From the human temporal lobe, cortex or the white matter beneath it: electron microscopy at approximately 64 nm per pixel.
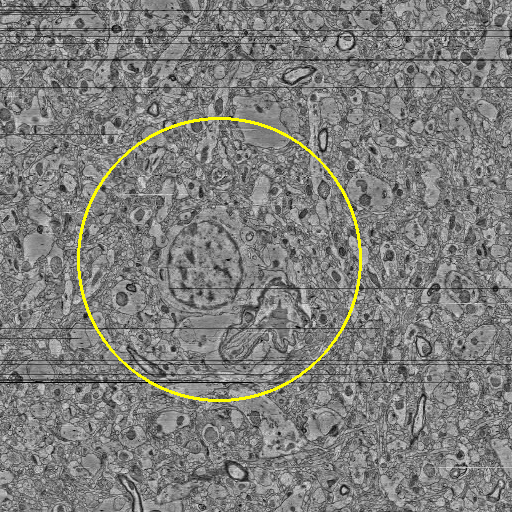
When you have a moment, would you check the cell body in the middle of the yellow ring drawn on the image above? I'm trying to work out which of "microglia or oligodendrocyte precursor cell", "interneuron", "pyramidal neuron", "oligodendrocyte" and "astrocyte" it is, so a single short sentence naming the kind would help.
This cell body belongs to a microglial cell or oligodendrocyte precursor cell.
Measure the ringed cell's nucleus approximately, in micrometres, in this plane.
In this plane, the nucleus is roughly 6 by 5 micrometres.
